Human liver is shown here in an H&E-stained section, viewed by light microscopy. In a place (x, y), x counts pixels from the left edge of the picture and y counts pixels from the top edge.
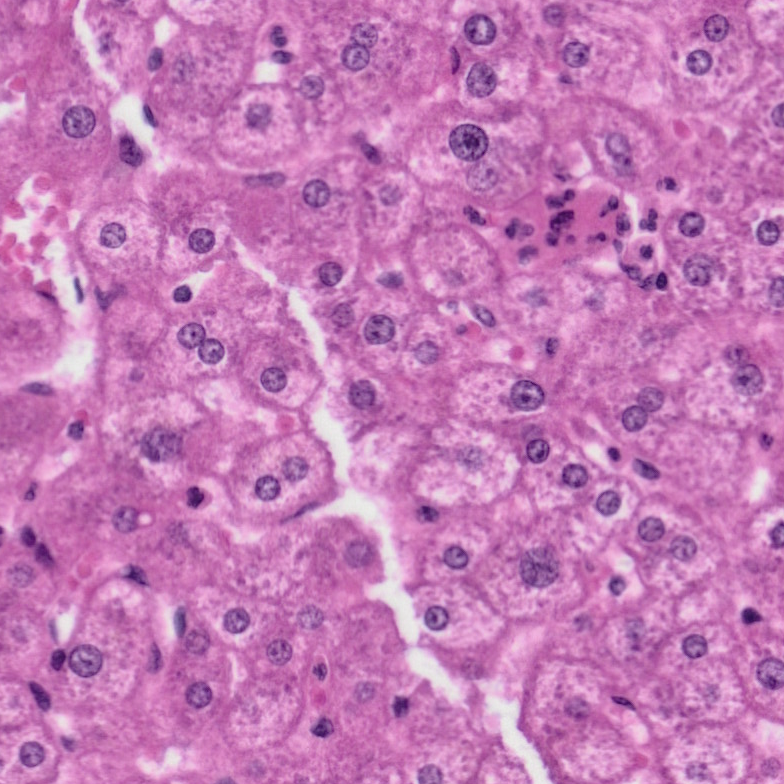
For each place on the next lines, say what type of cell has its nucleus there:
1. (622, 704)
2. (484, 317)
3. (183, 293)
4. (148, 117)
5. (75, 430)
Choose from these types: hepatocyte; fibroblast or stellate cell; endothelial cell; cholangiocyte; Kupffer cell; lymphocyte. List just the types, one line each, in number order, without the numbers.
endothelial cell
Kupffer cell
lymphocyte
endothelial cell
lymphocyte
